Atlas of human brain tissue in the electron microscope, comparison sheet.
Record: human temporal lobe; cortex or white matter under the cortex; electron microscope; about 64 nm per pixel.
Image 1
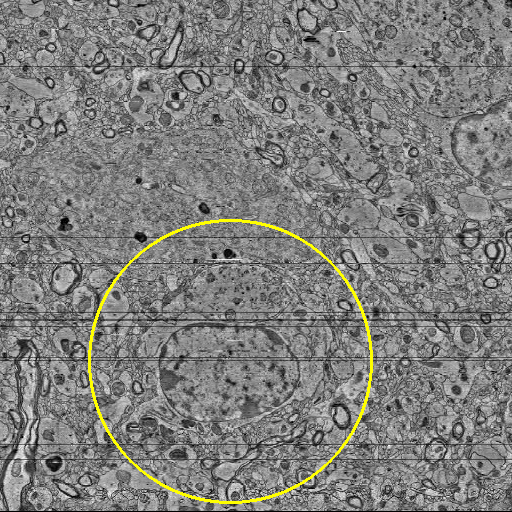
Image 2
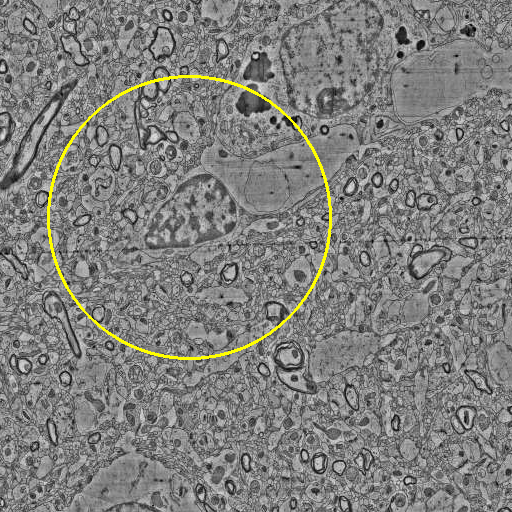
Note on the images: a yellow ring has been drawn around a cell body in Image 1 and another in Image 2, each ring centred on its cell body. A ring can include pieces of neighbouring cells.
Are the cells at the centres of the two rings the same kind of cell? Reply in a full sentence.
Yes, both cells are of the same kind.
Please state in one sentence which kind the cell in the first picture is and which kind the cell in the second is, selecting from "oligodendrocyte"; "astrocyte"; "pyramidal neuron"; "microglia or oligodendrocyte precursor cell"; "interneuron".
In each of the two pictures, the ringed cell is a microglial cell or oligodendrocyte precursor cell.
